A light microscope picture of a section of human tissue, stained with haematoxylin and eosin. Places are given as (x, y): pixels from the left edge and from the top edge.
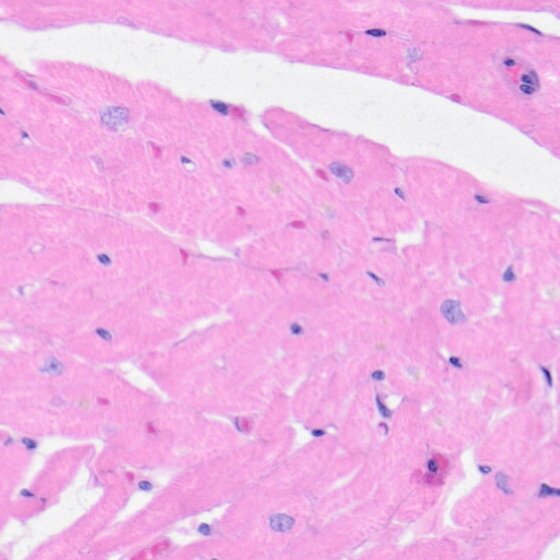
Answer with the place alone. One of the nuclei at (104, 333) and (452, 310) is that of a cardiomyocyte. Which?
(452, 310)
